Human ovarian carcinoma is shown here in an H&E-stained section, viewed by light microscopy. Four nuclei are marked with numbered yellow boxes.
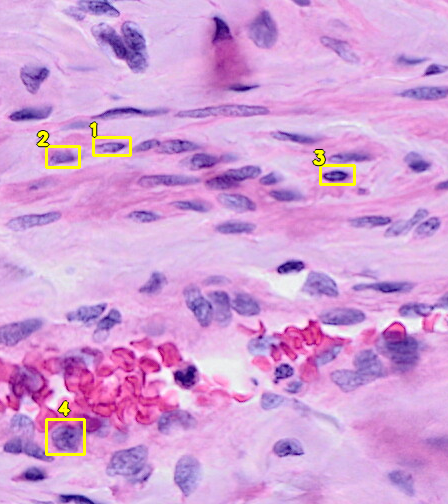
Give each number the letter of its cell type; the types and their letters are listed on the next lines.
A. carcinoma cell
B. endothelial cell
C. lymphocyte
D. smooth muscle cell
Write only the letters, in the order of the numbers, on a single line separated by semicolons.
D; D; D; B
